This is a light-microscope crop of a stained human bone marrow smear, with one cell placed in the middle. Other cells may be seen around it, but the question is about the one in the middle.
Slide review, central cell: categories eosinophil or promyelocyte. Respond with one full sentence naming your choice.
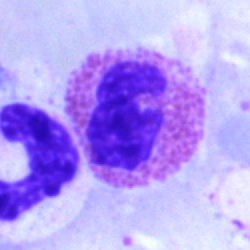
The center cell of this crop is an eosinophil.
